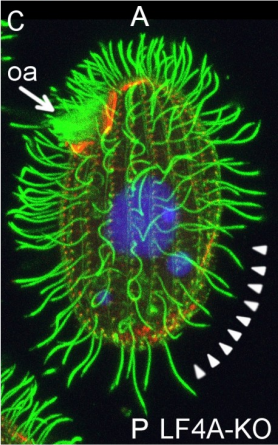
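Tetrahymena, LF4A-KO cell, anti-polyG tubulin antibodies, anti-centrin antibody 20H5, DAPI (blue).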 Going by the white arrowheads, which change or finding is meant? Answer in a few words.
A: Less densely ciliated.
